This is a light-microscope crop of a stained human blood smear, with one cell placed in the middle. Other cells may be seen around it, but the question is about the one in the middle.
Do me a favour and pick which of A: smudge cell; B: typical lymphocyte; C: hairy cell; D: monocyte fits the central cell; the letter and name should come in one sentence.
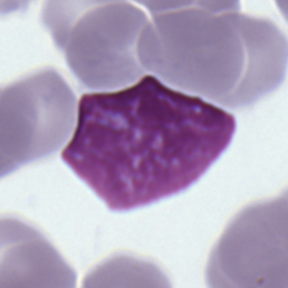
Given that the cell in the middle is a smudge cell, option A is correct.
